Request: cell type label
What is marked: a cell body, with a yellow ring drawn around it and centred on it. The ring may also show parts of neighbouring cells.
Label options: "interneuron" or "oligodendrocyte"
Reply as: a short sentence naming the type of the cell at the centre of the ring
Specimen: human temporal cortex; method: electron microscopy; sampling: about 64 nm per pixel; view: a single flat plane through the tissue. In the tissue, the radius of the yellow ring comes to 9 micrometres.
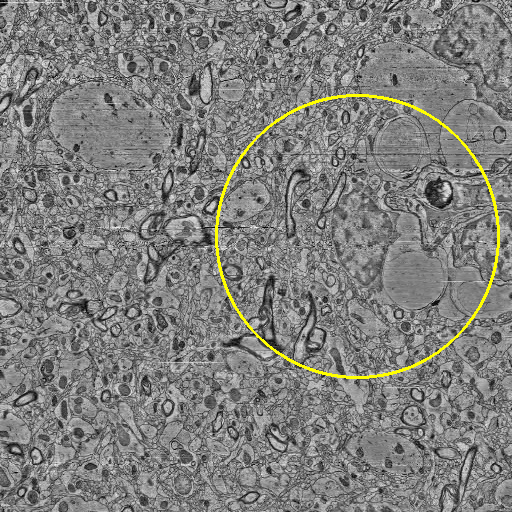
The marked cell body is that of an oligodendrocyte.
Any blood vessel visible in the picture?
Yes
